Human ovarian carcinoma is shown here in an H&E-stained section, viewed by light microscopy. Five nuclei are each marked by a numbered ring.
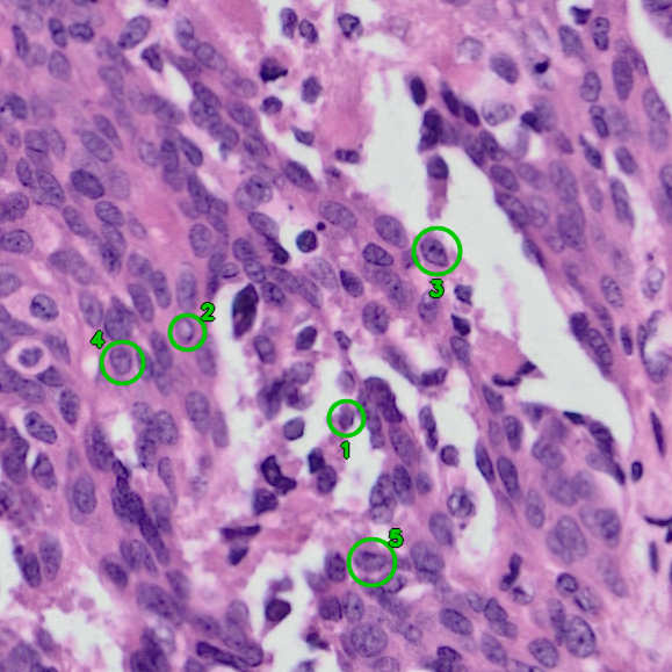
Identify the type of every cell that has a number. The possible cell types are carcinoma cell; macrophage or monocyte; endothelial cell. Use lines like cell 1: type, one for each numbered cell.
cell 1: carcinoma cell
cell 2: endothelial cell
cell 3: macrophage or monocyte
cell 4: carcinoma cell
cell 5: carcinoma cell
